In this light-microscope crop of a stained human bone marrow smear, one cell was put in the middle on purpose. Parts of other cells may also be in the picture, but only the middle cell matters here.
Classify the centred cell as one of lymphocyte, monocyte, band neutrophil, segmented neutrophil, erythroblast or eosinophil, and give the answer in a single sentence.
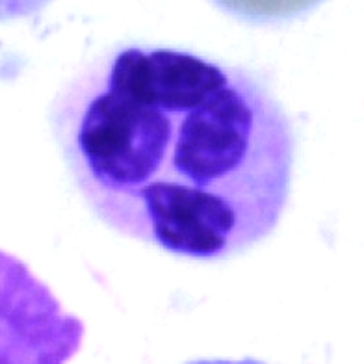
The central element of this crop is a cell, namely a segmented neutrophil.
